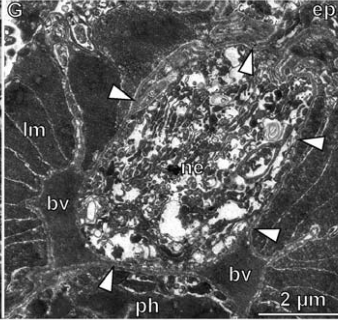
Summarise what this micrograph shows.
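This is a close-up of a nerve cord lying just below the epidermis. In the middle sits a rounded bundle made of numerous small neurite profiles, pale with scattered vesicles and dense dots, some cut across and some along their length. A thin dark layer of extracellular matrix wraps around the whole bundle. Outside it lie dark bands of longitudinal muscle fibers, and at the lower corners darker spaces of blood vessels; the pharynx lies below and the epidermis above. No cell bodies dominate the bundle; it is essentially a tract of fibres.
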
